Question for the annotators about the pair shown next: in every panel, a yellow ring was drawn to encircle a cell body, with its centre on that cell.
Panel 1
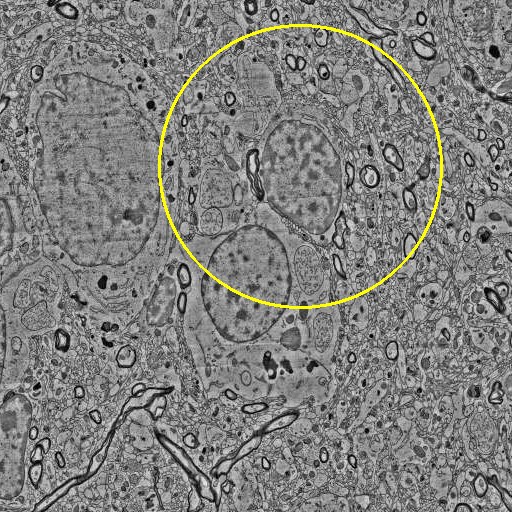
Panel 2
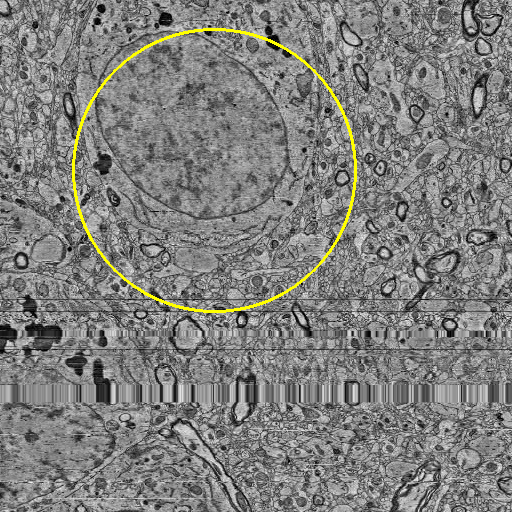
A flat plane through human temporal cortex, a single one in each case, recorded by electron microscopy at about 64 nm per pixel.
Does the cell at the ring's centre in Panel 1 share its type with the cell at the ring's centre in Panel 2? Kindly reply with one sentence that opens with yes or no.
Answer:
No, in Panels 1 and 2 the cells at the ring centres belong to separate types.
